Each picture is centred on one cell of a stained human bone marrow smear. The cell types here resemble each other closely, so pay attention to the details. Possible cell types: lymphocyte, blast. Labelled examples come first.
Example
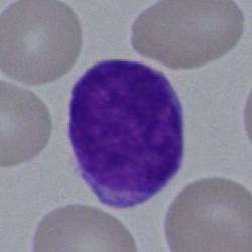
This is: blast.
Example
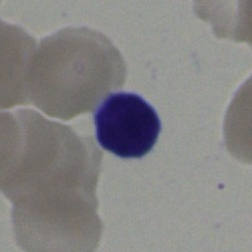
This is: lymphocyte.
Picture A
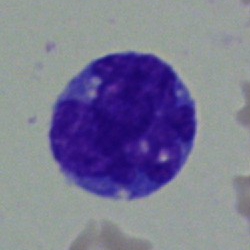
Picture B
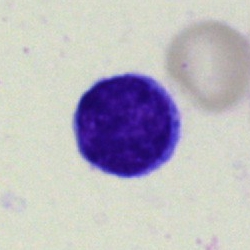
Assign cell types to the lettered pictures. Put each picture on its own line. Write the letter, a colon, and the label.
A: blast.
B: lymphocyte.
